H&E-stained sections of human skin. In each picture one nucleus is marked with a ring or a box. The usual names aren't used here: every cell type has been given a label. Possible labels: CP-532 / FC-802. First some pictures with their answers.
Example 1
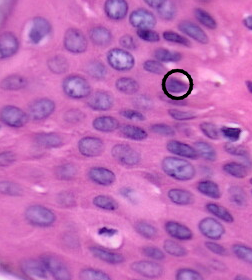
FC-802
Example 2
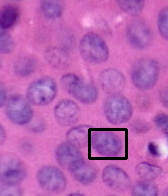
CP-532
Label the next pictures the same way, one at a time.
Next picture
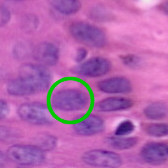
FC-802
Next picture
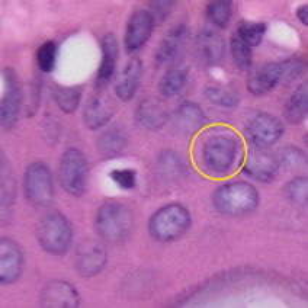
CP-532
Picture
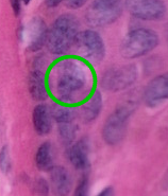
FC-802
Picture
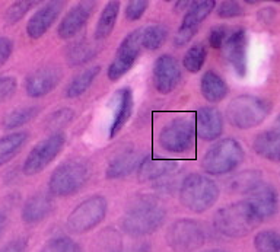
FC-802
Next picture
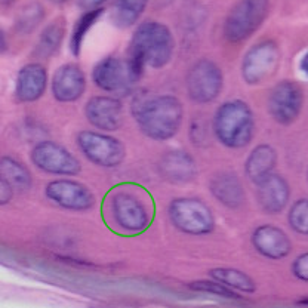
CP-532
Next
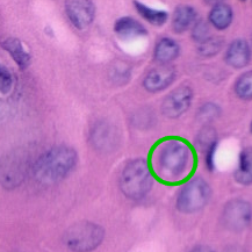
CP-532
